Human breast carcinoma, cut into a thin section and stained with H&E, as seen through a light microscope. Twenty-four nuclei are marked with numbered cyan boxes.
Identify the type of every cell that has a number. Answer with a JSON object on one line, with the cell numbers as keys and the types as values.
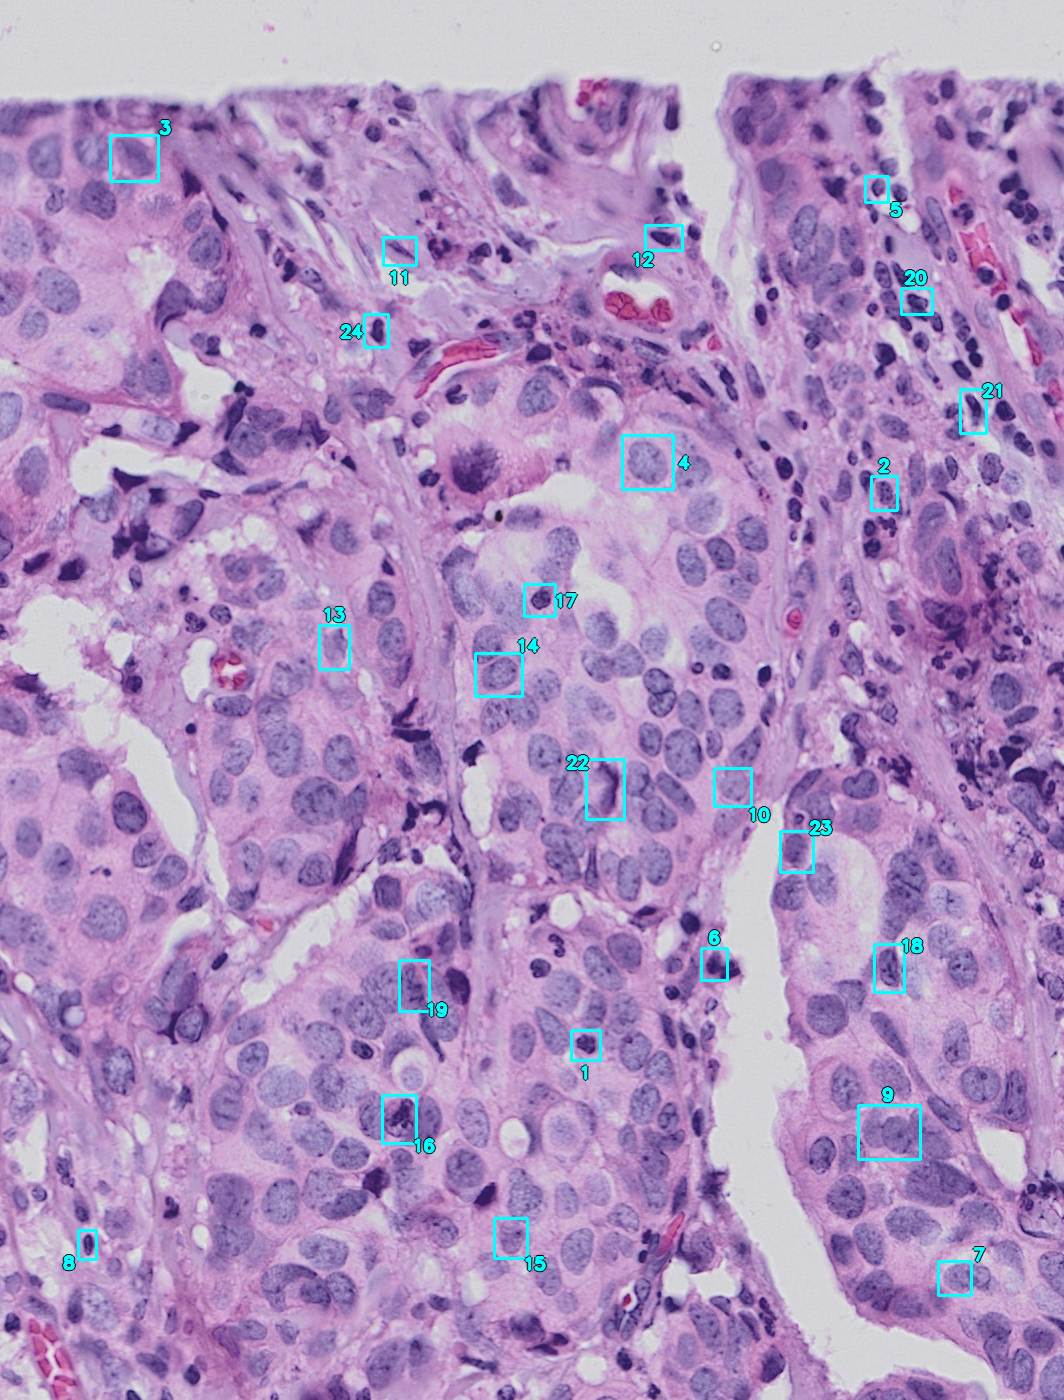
{"1": "lymphocyte", "2": "lymphocyte", "3": "carcinoma cell", "4": "carcinoma cell", "5": "lymphocyte", "6": "lymphocyte", "7": "carcinoma cell", "8": "lymphocyte", "9": "carcinoma cell", "10": "carcinoma cell", "11": "fibroblast", "12": "lymphocyte", "13": "carcinoma cell", "14": "carcinoma cell", "15": "carcinoma cell", "16": "carcinoma cell", "17": "lymphocyte", "18": "carcinoma cell", "19": "carcinoma cell", "20": "lymphocyte", "21": "lymphocyte", "22": "carcinoma cell", "23": "carcinoma cell", "24": "lymphocyte"}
